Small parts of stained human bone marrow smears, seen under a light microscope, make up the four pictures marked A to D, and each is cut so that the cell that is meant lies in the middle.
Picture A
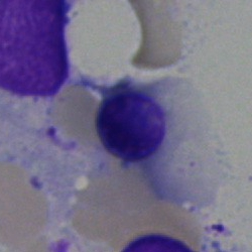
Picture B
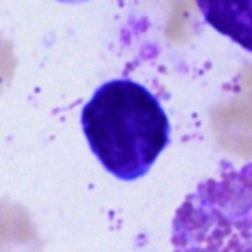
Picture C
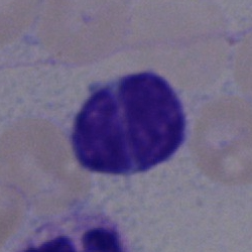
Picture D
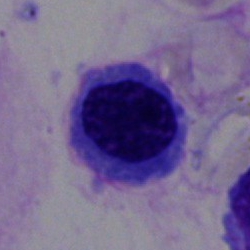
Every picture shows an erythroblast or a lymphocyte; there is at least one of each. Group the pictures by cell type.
A: erythroblast
B: lymphocyte
C: lymphocyte
D: erythroblast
